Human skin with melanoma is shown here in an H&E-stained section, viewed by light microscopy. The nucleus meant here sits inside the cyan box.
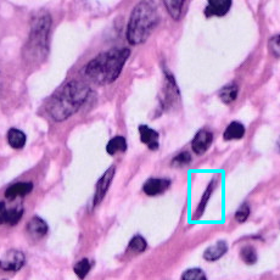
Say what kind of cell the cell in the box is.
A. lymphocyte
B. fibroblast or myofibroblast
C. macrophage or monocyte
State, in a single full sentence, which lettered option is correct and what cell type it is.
Option B gets it right, as the cell in the box is a fibroblast or myofibroblast.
